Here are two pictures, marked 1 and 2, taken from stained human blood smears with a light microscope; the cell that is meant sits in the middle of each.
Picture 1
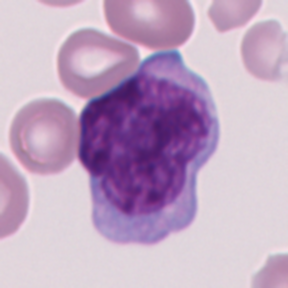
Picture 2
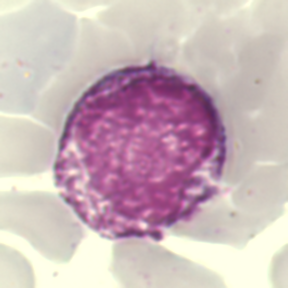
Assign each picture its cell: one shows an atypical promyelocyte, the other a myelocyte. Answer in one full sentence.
Picture 1 shows an atypical promyelocyte and picture 2 shows a myelocyte.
